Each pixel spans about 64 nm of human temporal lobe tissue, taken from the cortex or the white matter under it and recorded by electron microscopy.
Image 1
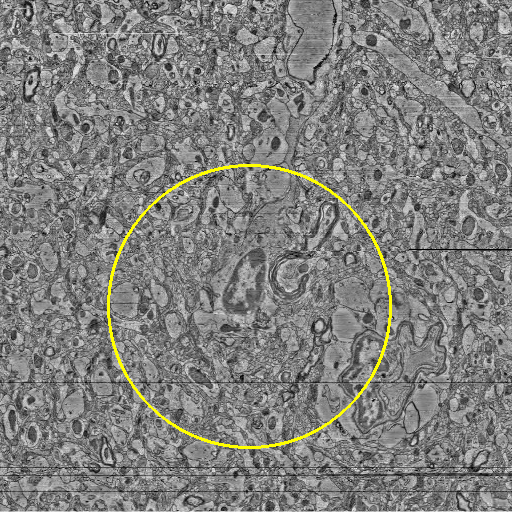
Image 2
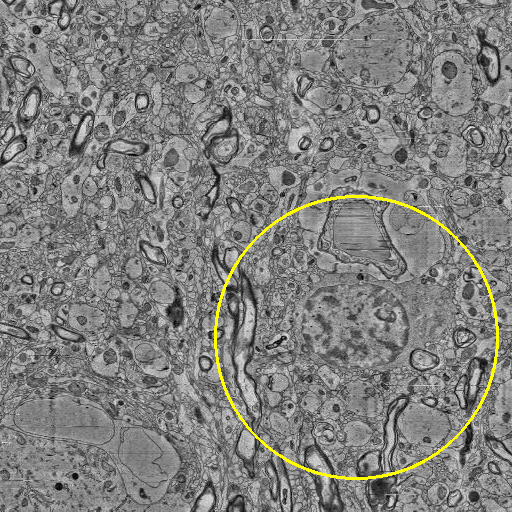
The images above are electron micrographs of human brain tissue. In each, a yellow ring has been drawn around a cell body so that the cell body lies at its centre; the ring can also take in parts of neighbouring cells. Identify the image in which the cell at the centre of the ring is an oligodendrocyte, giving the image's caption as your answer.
Image 2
